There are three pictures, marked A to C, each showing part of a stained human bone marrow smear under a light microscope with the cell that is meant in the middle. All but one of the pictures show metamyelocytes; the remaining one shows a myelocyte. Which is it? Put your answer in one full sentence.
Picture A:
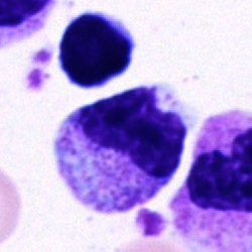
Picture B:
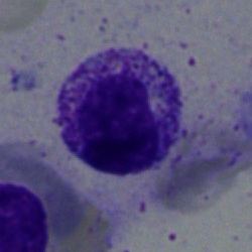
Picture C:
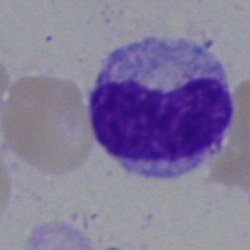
It is picture B that shows the myelocyte.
